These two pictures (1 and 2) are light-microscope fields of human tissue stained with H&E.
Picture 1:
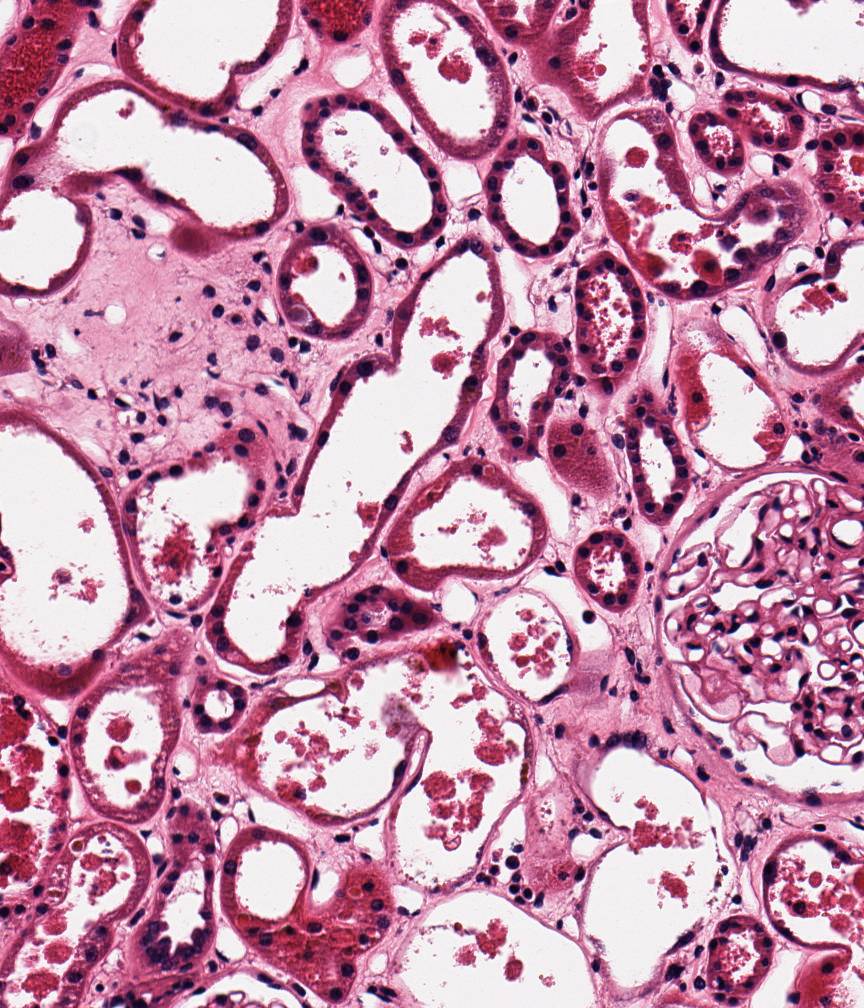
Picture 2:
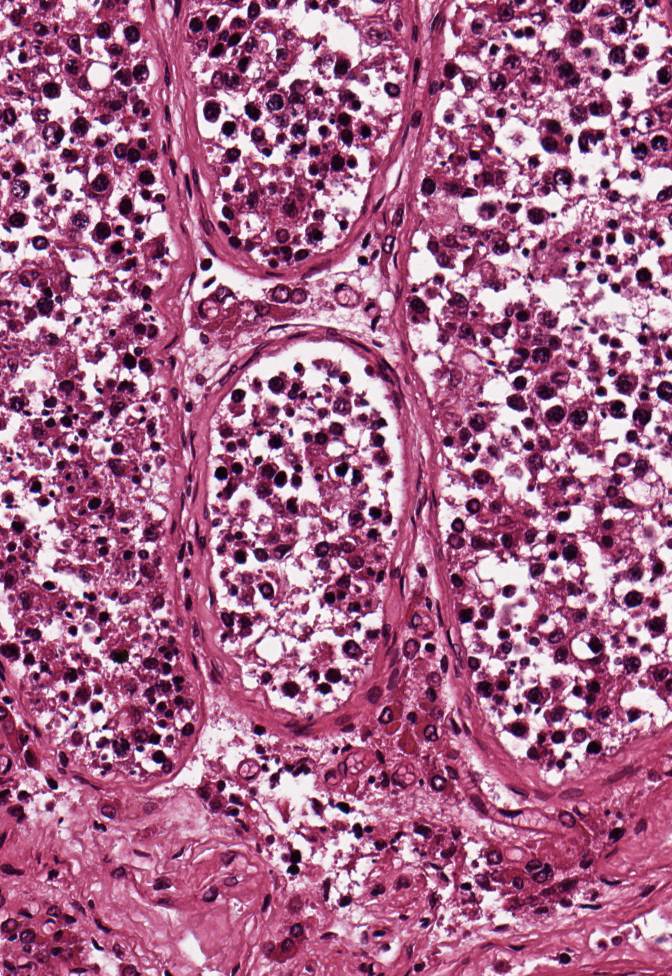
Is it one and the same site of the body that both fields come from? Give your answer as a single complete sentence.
No: picture 1 comes from the renal cortex, but picture 2 comes from the testis.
